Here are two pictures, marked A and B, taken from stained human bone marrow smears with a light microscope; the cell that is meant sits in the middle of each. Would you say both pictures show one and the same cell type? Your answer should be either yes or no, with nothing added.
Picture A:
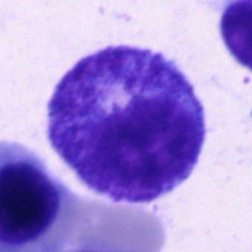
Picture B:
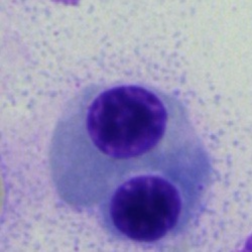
no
